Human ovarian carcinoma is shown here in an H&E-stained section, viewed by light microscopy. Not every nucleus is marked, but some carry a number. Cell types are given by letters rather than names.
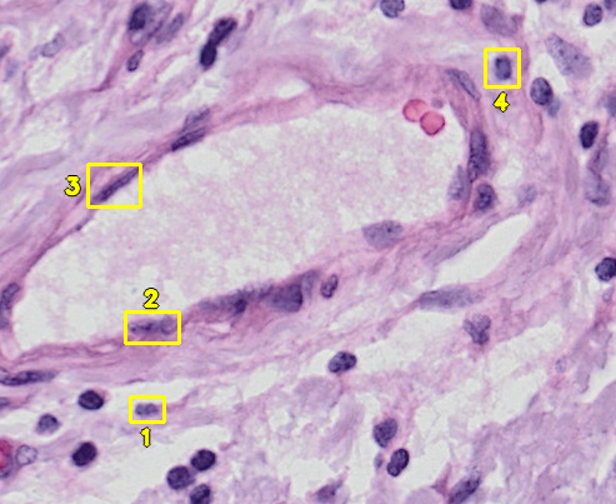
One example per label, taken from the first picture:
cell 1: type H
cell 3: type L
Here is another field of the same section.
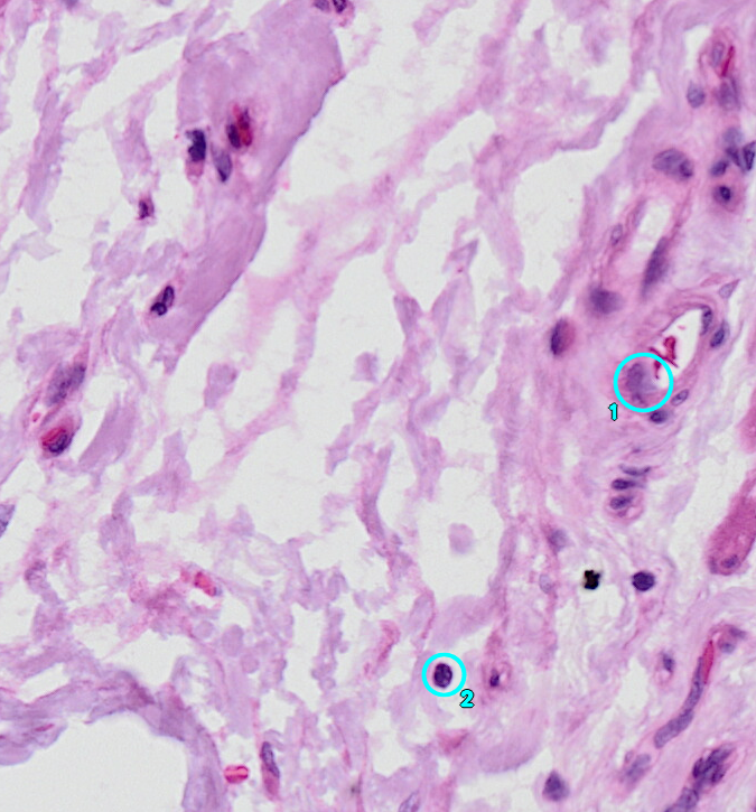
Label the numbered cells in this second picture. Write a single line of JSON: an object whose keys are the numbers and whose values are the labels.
{"1": "type L", "2": "type H"}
